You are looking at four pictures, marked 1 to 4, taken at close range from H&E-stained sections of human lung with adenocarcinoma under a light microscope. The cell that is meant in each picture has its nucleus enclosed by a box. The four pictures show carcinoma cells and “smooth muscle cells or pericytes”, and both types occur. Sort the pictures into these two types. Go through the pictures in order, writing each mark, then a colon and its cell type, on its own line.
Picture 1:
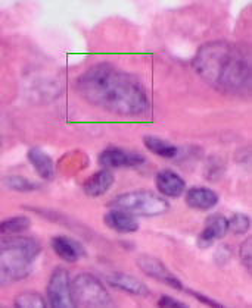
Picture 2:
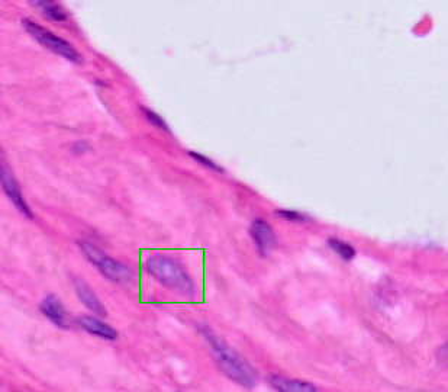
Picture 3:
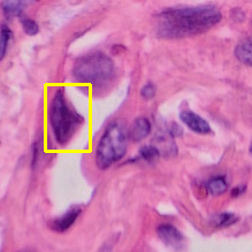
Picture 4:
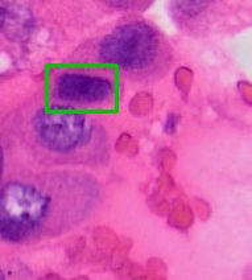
1: carcinoma cell
2: smooth muscle cell or pericyte
3: carcinoma cell
4: carcinoma cell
